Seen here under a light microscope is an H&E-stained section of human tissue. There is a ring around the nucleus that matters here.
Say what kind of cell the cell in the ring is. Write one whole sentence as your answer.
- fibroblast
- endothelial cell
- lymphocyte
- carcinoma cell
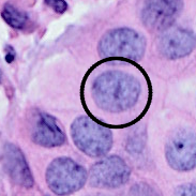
Among the cells in this section, the cell in the ring is a carcinoma cell.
